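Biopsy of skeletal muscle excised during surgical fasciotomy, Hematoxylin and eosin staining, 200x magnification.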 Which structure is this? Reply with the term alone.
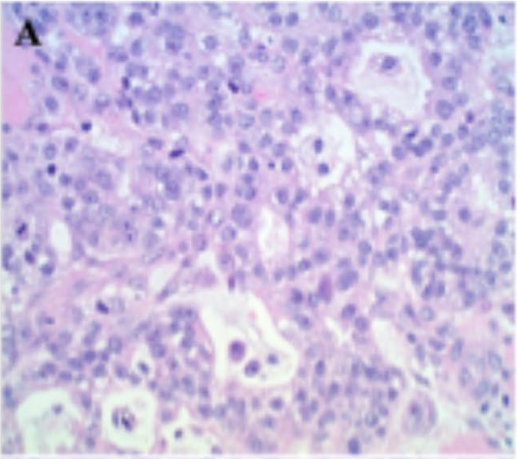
Cystic formations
